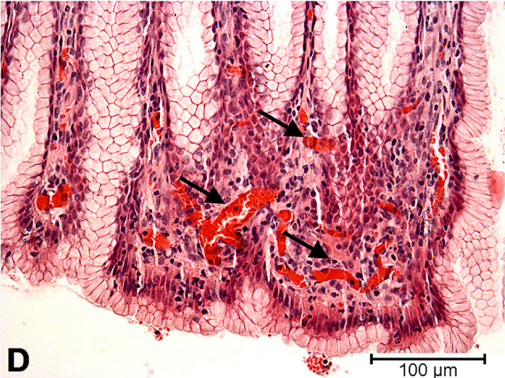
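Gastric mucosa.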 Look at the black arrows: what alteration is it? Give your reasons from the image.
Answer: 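The arrows point to wide, elongated vessels between the pits. The vessels are filled with bright red red blood cells. On this evidence: hyperaemia.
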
